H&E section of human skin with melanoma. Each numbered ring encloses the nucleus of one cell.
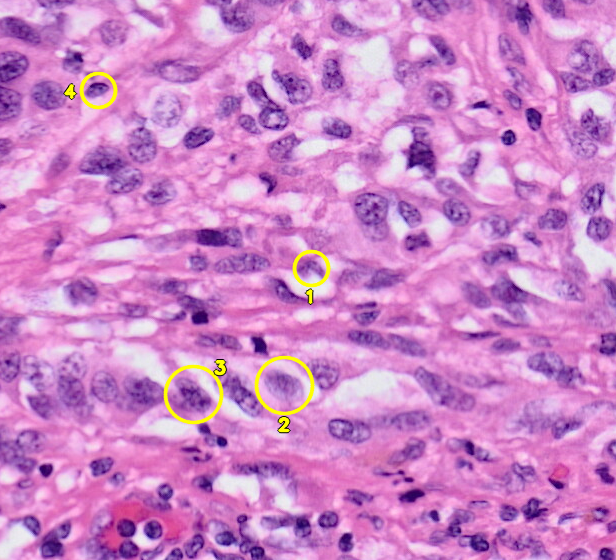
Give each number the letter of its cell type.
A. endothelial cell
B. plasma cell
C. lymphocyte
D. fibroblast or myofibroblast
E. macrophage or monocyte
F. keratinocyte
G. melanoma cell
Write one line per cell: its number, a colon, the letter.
1: G
2: G
3: G
4: C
